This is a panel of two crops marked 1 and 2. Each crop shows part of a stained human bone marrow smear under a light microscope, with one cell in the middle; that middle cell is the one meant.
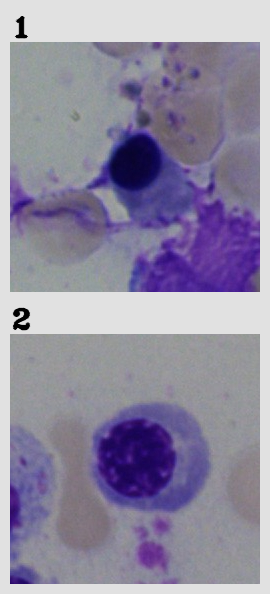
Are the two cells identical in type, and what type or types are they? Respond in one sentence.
Yes, the cells in both crops are normoblasts.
